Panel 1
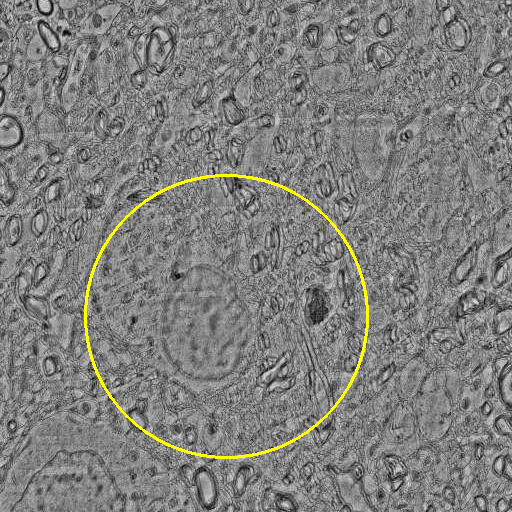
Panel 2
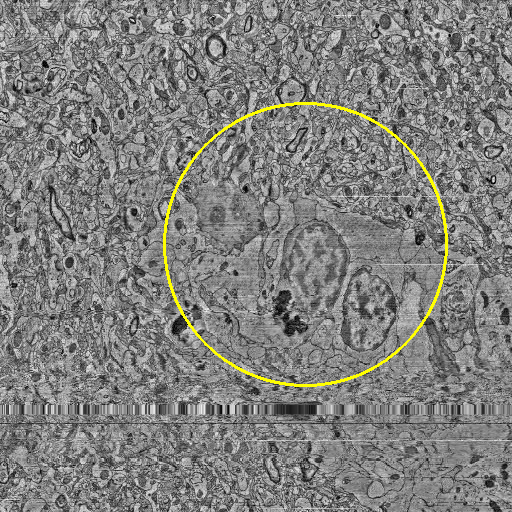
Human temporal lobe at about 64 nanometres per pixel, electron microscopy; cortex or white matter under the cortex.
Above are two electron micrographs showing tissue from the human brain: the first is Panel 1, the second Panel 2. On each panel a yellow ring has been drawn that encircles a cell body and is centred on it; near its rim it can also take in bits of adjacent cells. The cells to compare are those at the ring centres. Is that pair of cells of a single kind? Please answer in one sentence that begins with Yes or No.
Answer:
Yes, the ring-centred cells of Panel 1 and Panel 2 belong to one kind.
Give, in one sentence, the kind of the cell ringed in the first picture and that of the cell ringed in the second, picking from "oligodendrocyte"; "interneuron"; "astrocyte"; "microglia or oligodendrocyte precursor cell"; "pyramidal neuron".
Both rings mark an oligodendrocyte, one in each picture.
